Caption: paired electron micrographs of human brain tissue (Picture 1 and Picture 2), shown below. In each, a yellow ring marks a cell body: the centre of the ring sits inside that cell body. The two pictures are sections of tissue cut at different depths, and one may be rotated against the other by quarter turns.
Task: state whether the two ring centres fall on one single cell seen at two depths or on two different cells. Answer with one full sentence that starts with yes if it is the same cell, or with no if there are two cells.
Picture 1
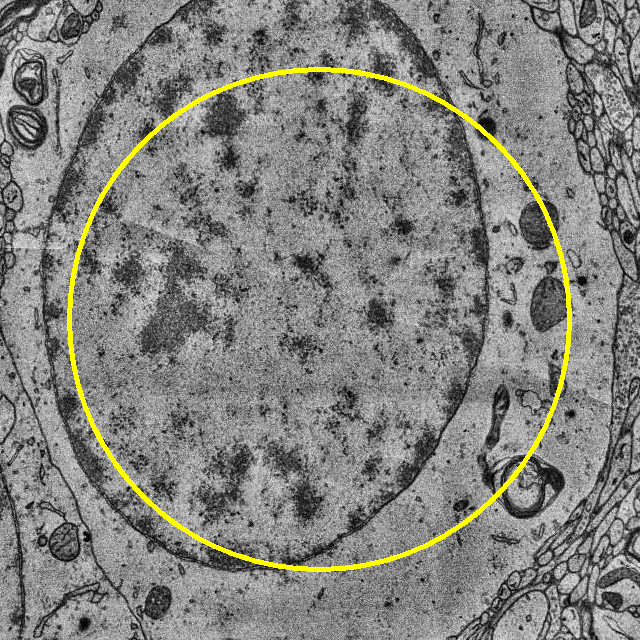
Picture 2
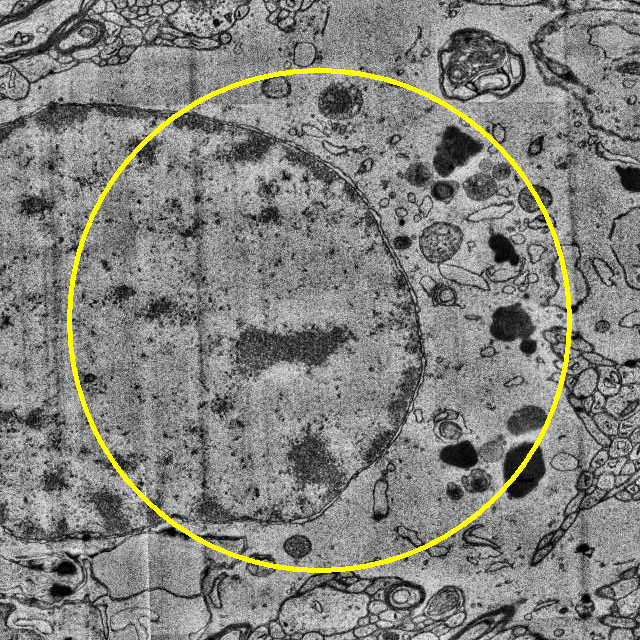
No, the two marked cells are different cells.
